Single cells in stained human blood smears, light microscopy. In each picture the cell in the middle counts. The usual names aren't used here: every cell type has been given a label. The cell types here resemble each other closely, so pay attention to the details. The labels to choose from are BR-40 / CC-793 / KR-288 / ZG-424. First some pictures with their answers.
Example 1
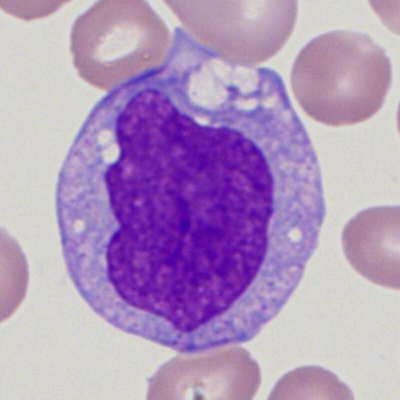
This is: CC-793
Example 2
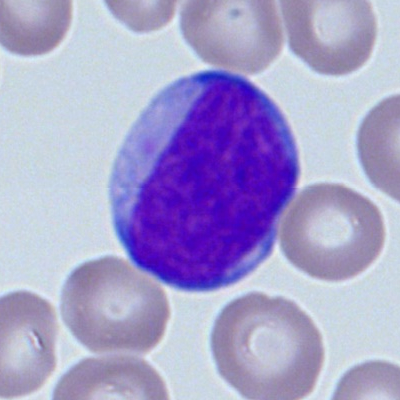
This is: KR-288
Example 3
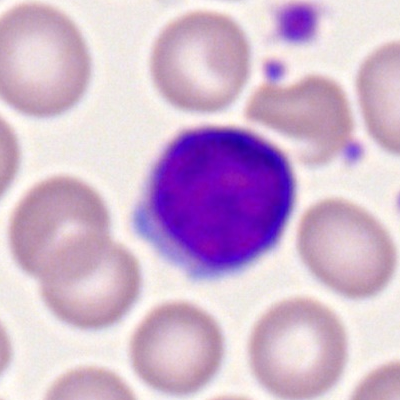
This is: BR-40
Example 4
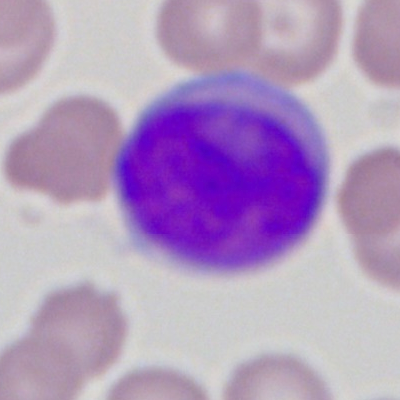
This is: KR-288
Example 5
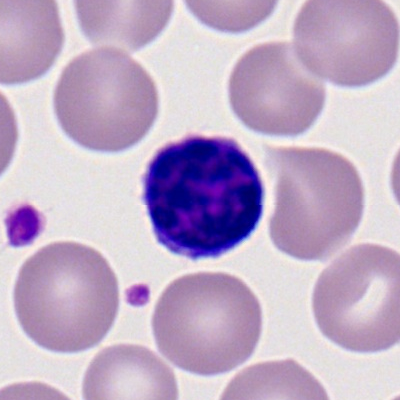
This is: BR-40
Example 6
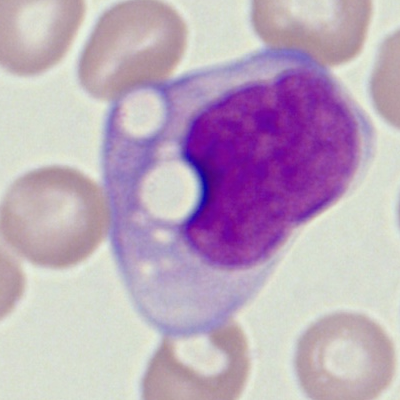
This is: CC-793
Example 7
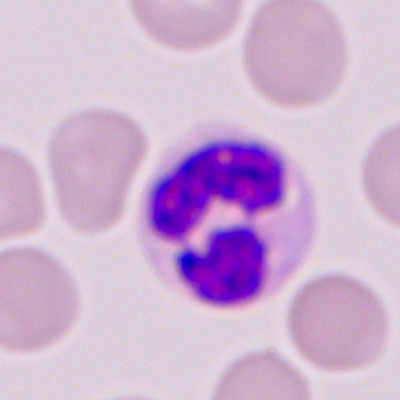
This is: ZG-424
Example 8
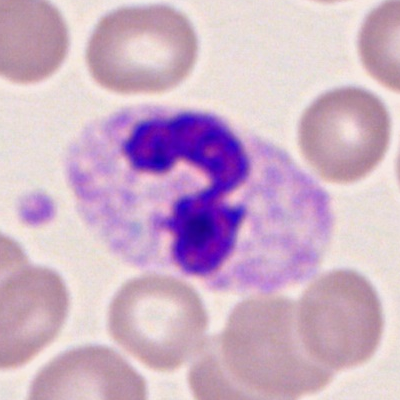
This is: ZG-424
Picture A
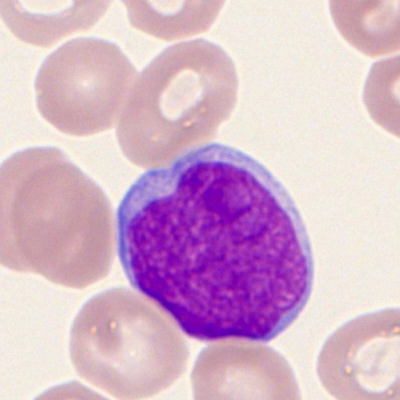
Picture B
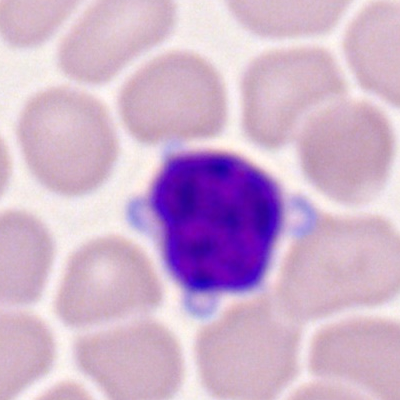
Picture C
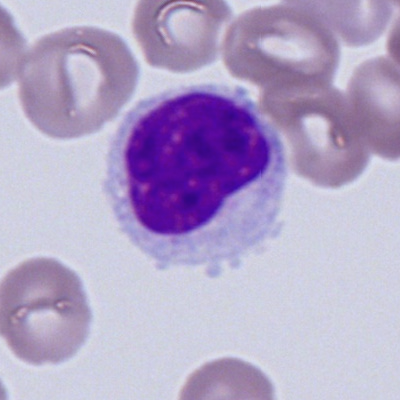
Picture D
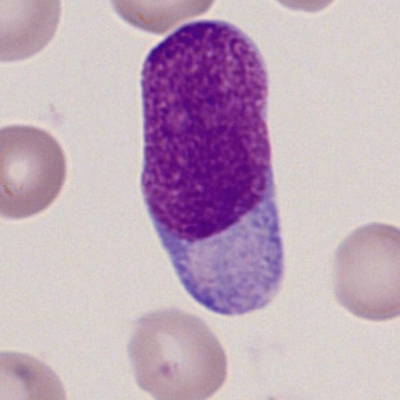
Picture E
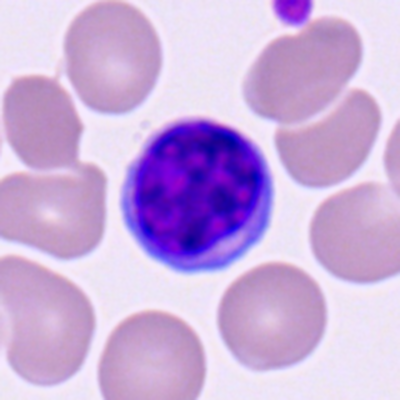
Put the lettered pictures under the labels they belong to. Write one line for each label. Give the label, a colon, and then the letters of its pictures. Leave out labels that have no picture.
BR-40: B, C, E
KR-288: A, D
